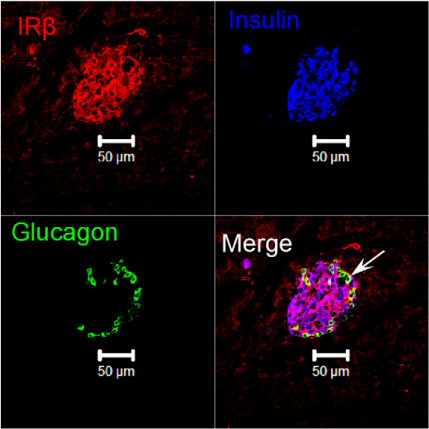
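A pancreatic islet sits as a compact, round cluster within the surrounding tissue, with a blue-stained core of closely packed cells. Red staining outlines the cells throughout the islet and is fainter in the surrounding tissue. Green-stained α cells form a discontinuous mantle at the periphery of the islet and appear yellow where they overlap with red.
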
